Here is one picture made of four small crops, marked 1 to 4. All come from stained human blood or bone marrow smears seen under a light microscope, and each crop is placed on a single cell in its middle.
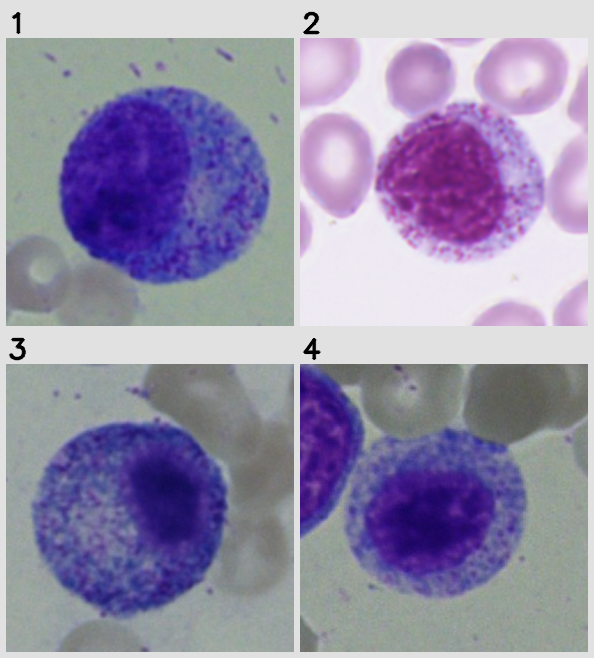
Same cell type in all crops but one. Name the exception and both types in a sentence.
The crops all show myelocytes, with the exception of crop 3, which shows a promyelocyte.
